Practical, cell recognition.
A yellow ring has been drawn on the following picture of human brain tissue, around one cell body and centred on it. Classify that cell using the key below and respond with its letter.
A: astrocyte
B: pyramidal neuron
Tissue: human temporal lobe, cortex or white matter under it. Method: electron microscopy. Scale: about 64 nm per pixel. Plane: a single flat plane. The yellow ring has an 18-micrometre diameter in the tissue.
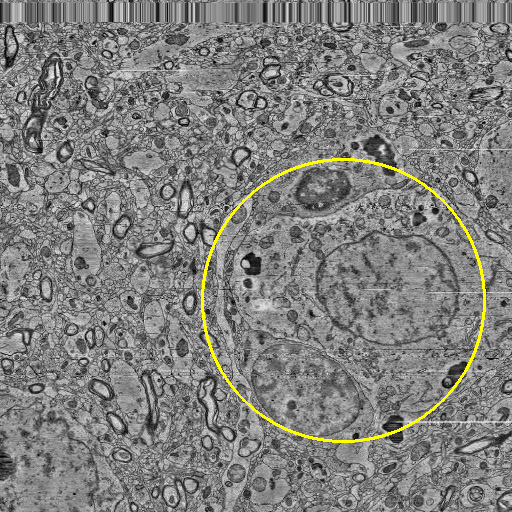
B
